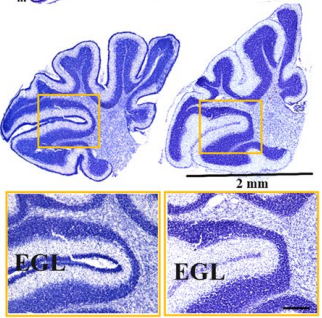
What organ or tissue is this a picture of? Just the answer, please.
cerebellum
